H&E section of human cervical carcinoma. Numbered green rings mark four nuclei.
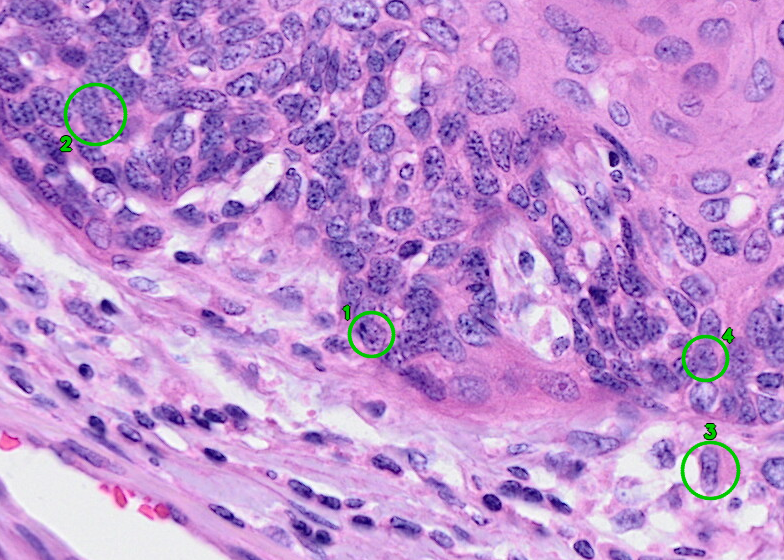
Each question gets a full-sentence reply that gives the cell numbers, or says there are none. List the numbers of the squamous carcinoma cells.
The cells that the numbers 1, 2 and 4 belong to are squamous carcinoma cells.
